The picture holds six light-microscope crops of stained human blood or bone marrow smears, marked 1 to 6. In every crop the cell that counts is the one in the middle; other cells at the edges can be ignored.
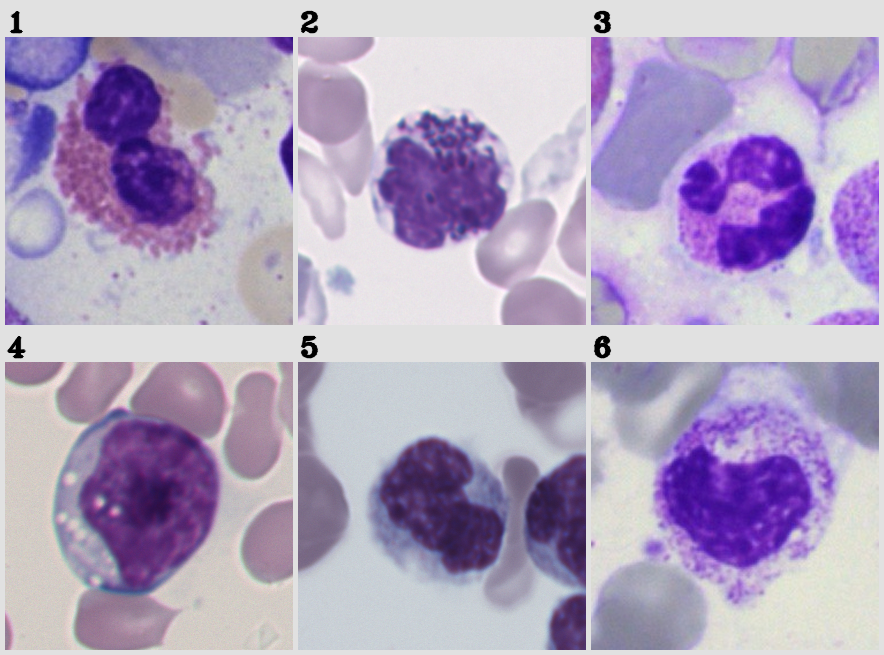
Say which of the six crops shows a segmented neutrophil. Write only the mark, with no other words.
3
